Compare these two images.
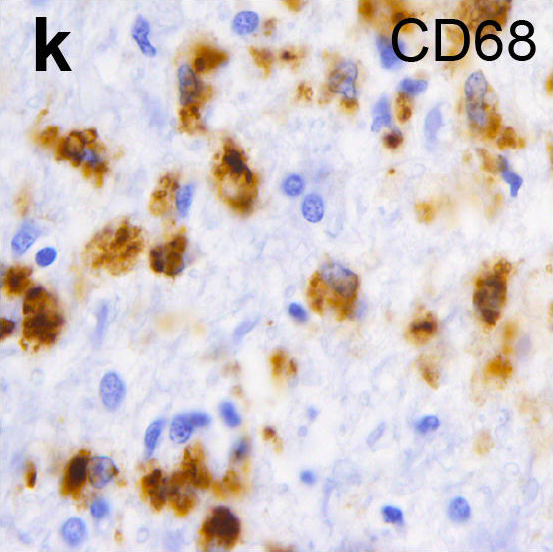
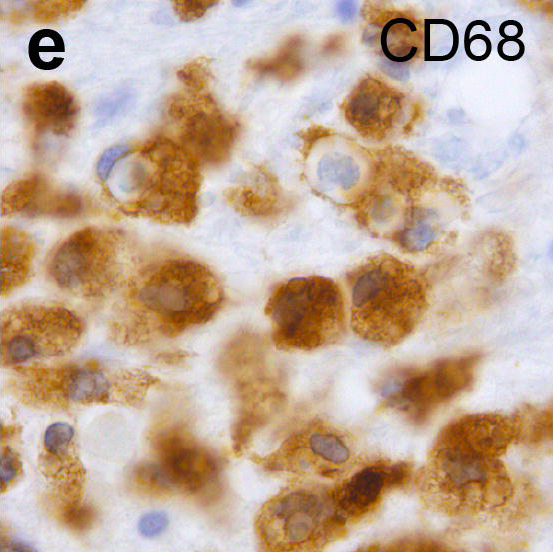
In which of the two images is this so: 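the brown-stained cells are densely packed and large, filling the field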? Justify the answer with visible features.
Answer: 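The second image. First image: smaller brown-stained cells scattered apart with pale tissue between them. Second image: large brown-stained cells crowded side by side.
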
